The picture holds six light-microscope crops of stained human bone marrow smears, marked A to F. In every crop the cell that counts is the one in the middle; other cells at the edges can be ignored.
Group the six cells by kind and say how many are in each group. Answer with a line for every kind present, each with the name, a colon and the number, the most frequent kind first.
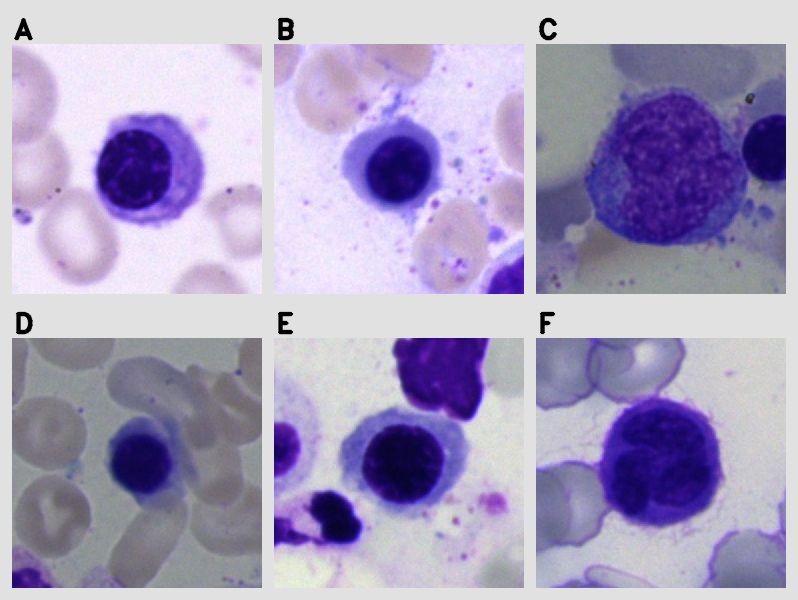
erythroblast: 4
monocyte: 2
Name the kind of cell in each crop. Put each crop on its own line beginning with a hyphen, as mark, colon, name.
- A: erythroblast
- B: erythroblast
- C: monocyte
- D: erythroblast
- E: erythroblast
- F: monocyte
